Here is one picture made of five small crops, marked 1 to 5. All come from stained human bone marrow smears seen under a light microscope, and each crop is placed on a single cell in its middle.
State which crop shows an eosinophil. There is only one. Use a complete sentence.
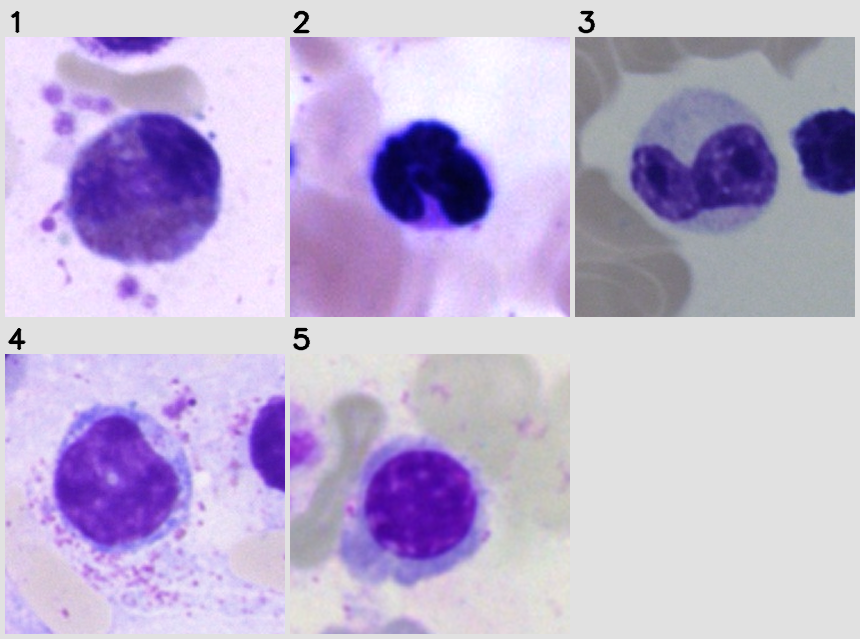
Among the crops provided, an eosinophil occupies the center of crop 1.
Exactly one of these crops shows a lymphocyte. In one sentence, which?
Among all the crops given here, the one with a lymphocyte is crop 4.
